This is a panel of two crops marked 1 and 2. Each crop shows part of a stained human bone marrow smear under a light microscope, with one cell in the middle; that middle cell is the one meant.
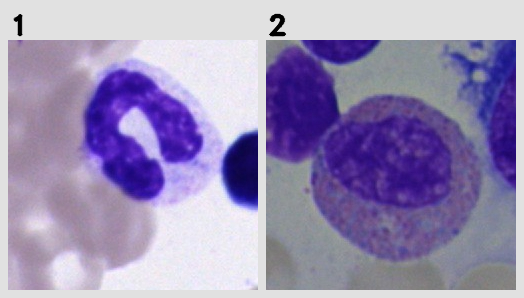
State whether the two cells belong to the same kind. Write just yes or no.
no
